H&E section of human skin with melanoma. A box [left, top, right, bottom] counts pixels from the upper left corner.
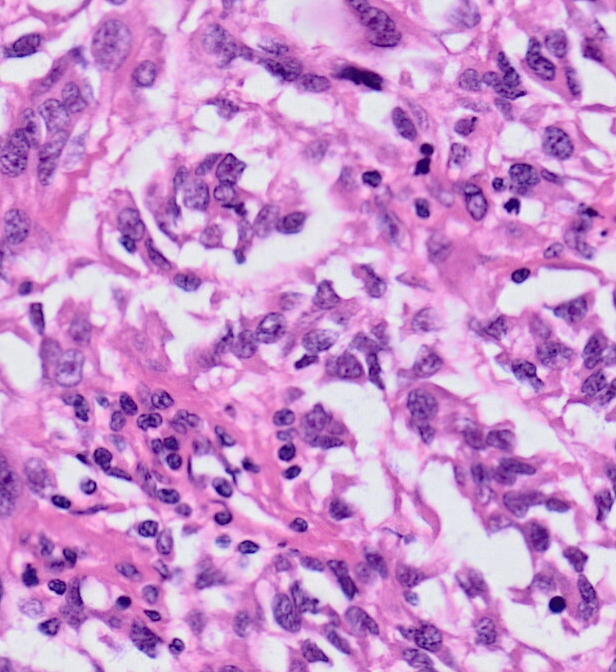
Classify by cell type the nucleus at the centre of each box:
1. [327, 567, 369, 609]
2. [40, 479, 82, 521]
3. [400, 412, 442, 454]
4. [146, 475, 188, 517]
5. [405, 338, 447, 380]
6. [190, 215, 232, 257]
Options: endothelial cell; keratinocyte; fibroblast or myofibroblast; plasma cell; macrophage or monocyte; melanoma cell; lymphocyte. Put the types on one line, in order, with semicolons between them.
melanoma cell; lymphocyte; melanoma cell; lymphocyte; melanoma cell; melanoma cell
